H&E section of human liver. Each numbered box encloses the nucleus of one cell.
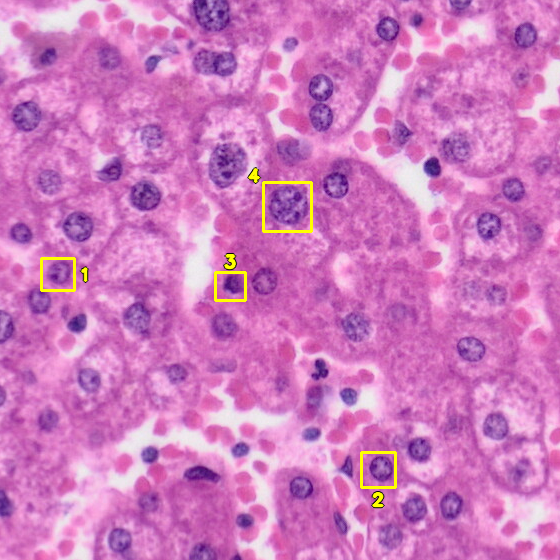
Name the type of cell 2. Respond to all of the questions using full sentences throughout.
Identified by the number 2, the cell is a hepatocyte.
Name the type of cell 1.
The cell whose nucleus carries the number 1 is a hepatocyte.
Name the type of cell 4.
The identity of cell 4 is that of a hepatocyte.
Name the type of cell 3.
The cell pointed out as number 3 is a fibroblast or stellate cell.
